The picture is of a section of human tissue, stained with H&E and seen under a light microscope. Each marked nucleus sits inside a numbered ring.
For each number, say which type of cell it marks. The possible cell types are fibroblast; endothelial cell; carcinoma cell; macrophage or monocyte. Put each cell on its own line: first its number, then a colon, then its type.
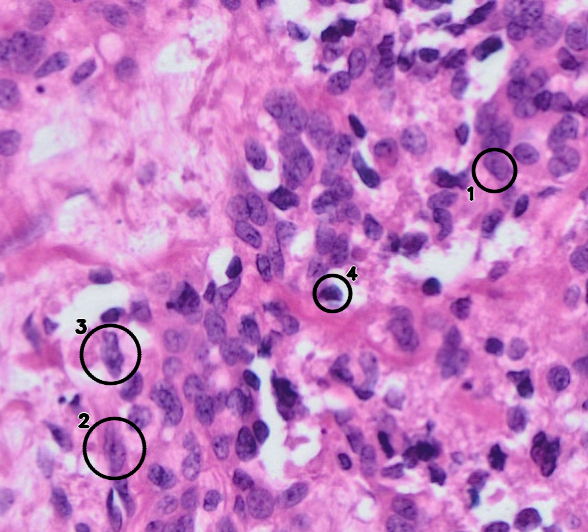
1: carcinoma cell
2: endothelial cell
3: macrophage or monocyte
4: carcinoma cell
